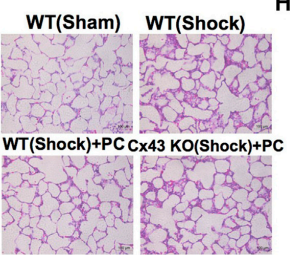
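These are sections of lung with the typical lace-like pattern of alveoli: thin pink septa with small dark purple nuclei surround many clear, rounded air spaces. In some of the fields the septa look thicker and more crowded with nuclei, and the air spaces are smaller and less regular.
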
